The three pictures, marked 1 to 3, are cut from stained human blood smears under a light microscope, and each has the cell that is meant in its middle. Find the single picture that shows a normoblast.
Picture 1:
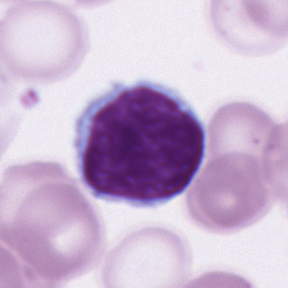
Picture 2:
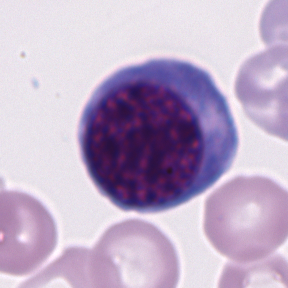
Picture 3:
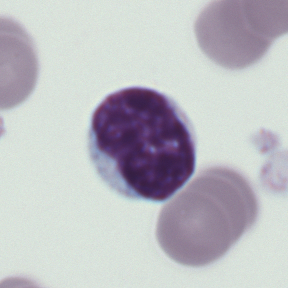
2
